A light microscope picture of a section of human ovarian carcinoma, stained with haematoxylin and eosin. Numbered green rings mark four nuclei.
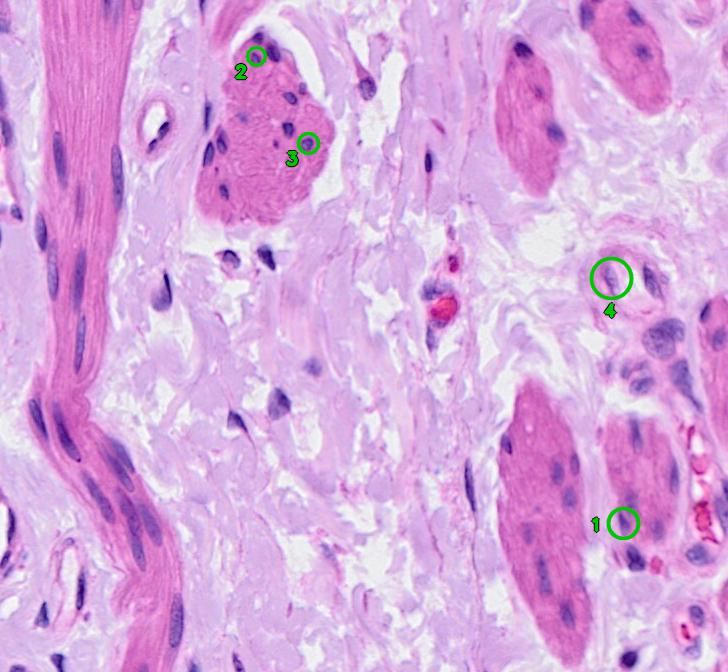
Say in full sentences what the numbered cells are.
Cells 1, 2 and 3 are smooth muscle cells. Cell 4 is an endothelial cell.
